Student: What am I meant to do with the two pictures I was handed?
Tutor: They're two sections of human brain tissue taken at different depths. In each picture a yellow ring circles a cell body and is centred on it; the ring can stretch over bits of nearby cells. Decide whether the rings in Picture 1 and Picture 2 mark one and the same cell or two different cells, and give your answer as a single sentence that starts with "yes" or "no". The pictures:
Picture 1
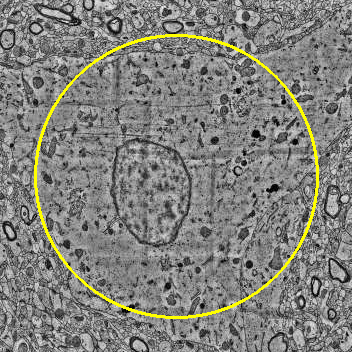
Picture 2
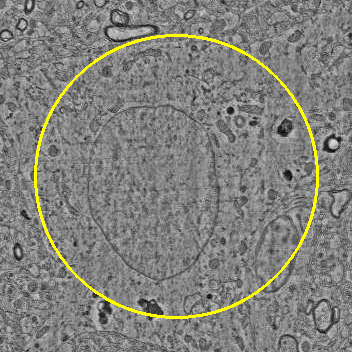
Yes, a single cell is marked twice, once by each yellow ring.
